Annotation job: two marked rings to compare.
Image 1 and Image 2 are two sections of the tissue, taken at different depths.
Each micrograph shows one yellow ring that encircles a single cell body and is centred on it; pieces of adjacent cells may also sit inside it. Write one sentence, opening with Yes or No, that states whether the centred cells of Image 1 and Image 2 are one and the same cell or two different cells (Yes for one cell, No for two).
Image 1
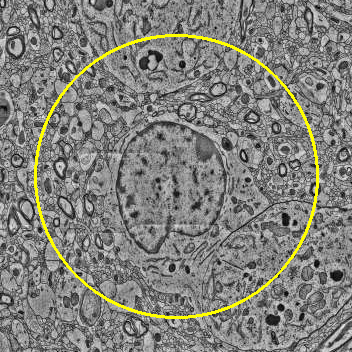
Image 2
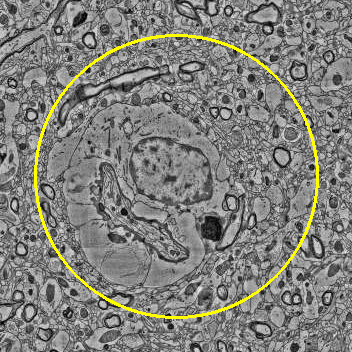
No, the cells inside the two rings are not the same cell.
